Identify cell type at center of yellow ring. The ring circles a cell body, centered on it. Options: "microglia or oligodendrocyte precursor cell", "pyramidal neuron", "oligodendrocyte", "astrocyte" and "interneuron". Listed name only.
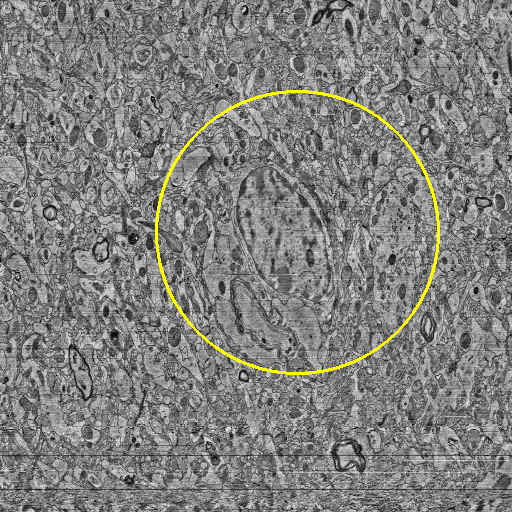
microglia or oligodendrocyte precursor cell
